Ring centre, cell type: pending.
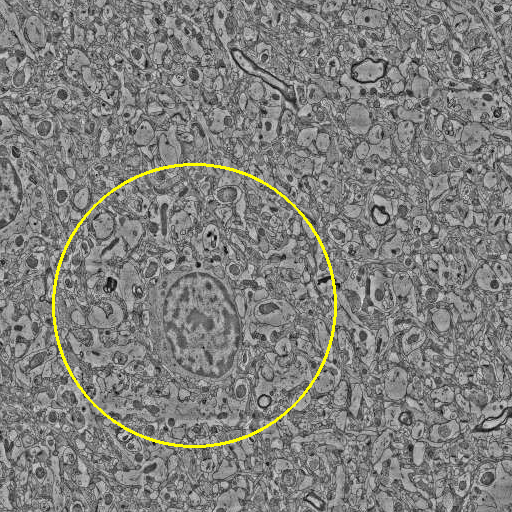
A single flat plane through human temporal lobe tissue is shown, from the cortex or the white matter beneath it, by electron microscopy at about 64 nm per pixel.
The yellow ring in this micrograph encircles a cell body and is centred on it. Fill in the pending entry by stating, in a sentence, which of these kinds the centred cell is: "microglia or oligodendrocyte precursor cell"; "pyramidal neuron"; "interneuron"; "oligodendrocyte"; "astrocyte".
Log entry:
The centred cell is recorded as an oligodendrocyte.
